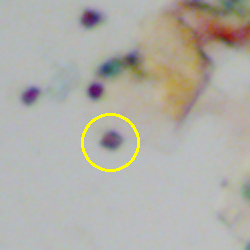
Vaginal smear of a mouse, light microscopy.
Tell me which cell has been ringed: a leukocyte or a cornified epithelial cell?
It is a leukocyte.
